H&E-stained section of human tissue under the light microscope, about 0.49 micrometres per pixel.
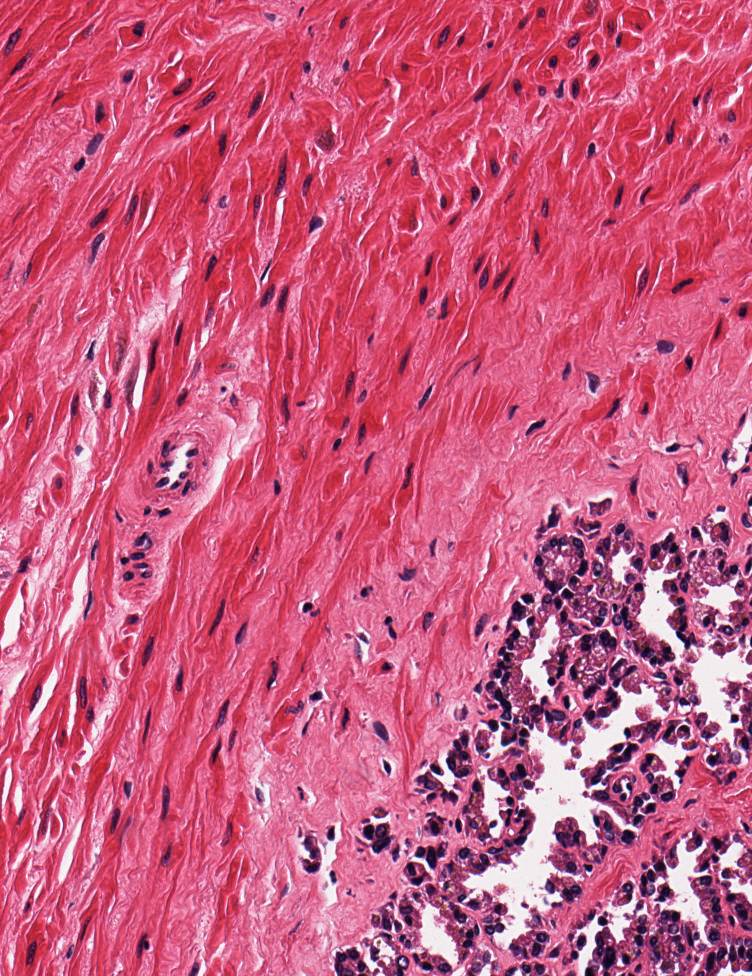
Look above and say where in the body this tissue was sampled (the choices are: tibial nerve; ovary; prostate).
prostate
